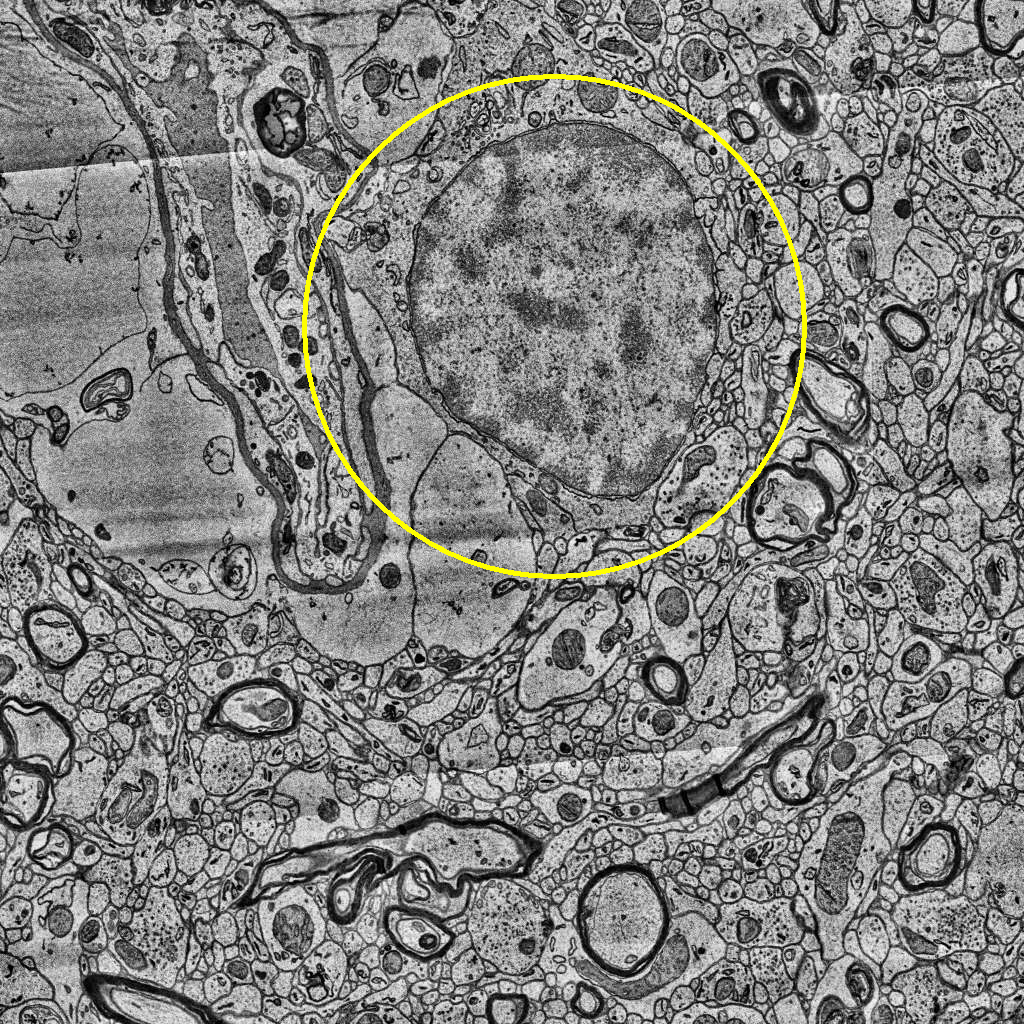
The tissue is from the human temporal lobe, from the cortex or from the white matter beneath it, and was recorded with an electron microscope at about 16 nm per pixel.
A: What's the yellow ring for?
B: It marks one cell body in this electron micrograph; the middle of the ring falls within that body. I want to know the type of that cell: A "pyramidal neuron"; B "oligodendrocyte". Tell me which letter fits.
B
